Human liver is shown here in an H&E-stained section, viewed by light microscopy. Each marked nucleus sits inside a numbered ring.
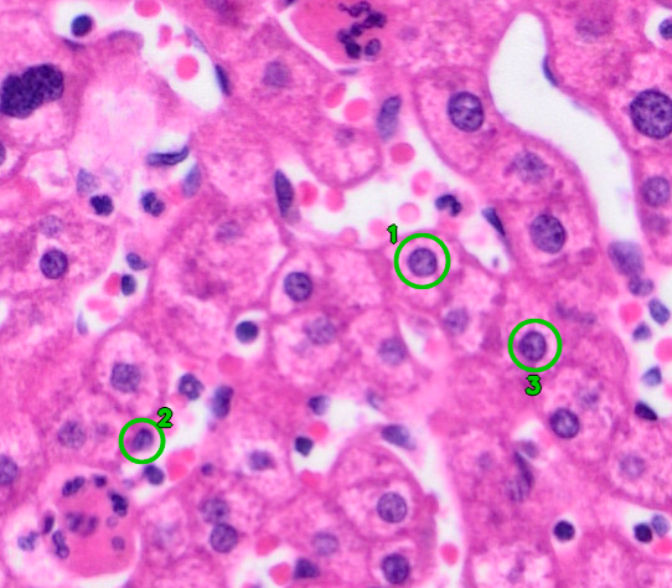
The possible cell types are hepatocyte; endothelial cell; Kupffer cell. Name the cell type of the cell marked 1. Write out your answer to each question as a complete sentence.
The cell indicated by marker 1 is a hepatocyte in this section.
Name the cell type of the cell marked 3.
The cell bearing label 3 corresponds to a hepatocyte.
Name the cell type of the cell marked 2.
In this section, the cell tagged 2 is a Kupffer cell.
